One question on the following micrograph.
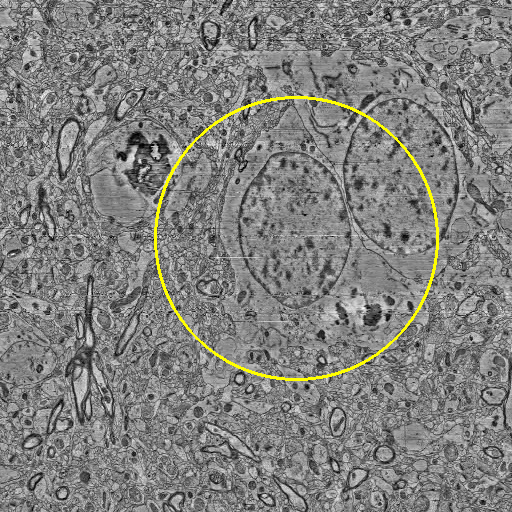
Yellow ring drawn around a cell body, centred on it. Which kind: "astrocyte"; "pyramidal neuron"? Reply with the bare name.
astrocyte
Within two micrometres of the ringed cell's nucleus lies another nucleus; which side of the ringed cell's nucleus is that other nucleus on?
The other nucleus can be seen to the upper right of it.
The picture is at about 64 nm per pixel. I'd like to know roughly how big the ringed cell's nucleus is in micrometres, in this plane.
In this plane, the nucleus is roughly 10 by 7 micrometres.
